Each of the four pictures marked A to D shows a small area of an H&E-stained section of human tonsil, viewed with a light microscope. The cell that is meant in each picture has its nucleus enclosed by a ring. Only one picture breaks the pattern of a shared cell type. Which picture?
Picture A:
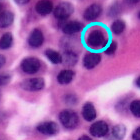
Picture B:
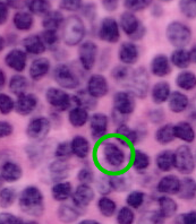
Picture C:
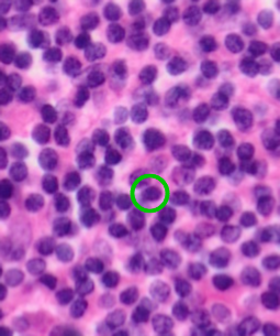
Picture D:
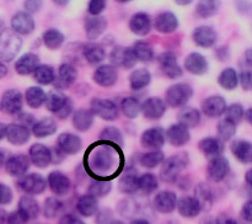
A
